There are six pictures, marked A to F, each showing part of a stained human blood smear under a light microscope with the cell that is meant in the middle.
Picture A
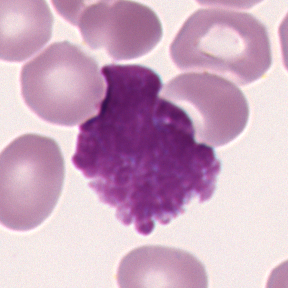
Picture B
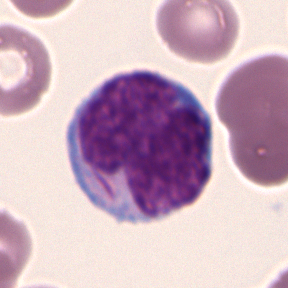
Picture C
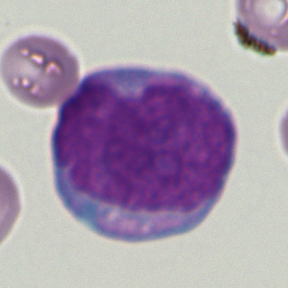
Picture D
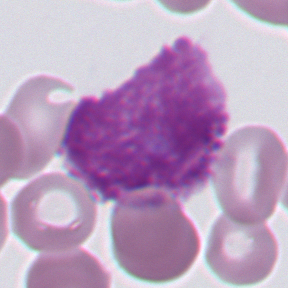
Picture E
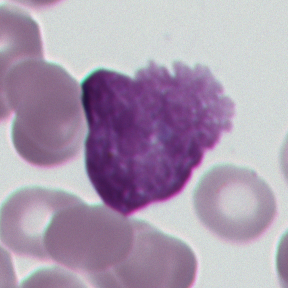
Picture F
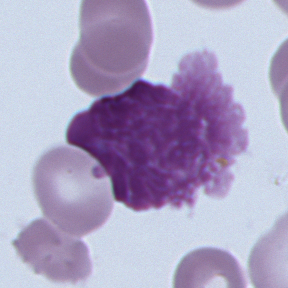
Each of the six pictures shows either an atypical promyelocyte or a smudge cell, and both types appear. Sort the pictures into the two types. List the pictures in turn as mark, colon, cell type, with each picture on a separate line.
A: smudge cell
B: atypical promyelocyte
C: atypical promyelocyte
D: smudge cell
E: smudge cell
F: smudge cell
